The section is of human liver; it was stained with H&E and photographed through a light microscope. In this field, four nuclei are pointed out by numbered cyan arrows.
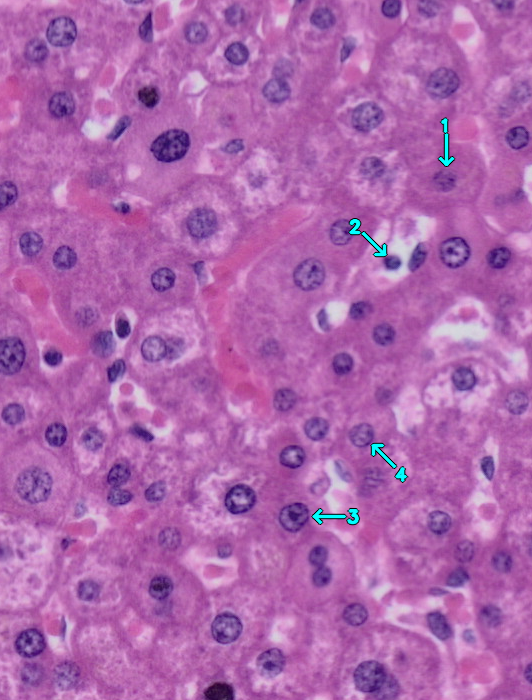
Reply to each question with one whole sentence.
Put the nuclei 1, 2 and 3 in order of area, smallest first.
The order from the smallest nucleus to the largest is 2, 1, 3.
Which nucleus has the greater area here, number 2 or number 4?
It is nucleus 4, which covers about 1.5 times the area of nucleus 2.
